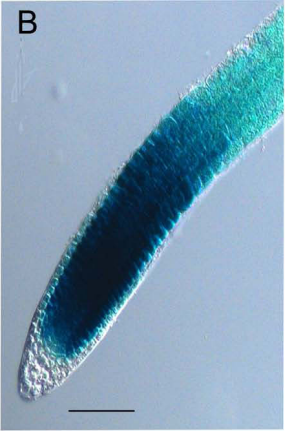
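This is the tip of a root, with the blue stain concentrated in the small, densely packed cells just behind the tip. The very end is covered by a cap of larger, loose, unstained cells, and the blue fades further back where the cells become longer.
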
